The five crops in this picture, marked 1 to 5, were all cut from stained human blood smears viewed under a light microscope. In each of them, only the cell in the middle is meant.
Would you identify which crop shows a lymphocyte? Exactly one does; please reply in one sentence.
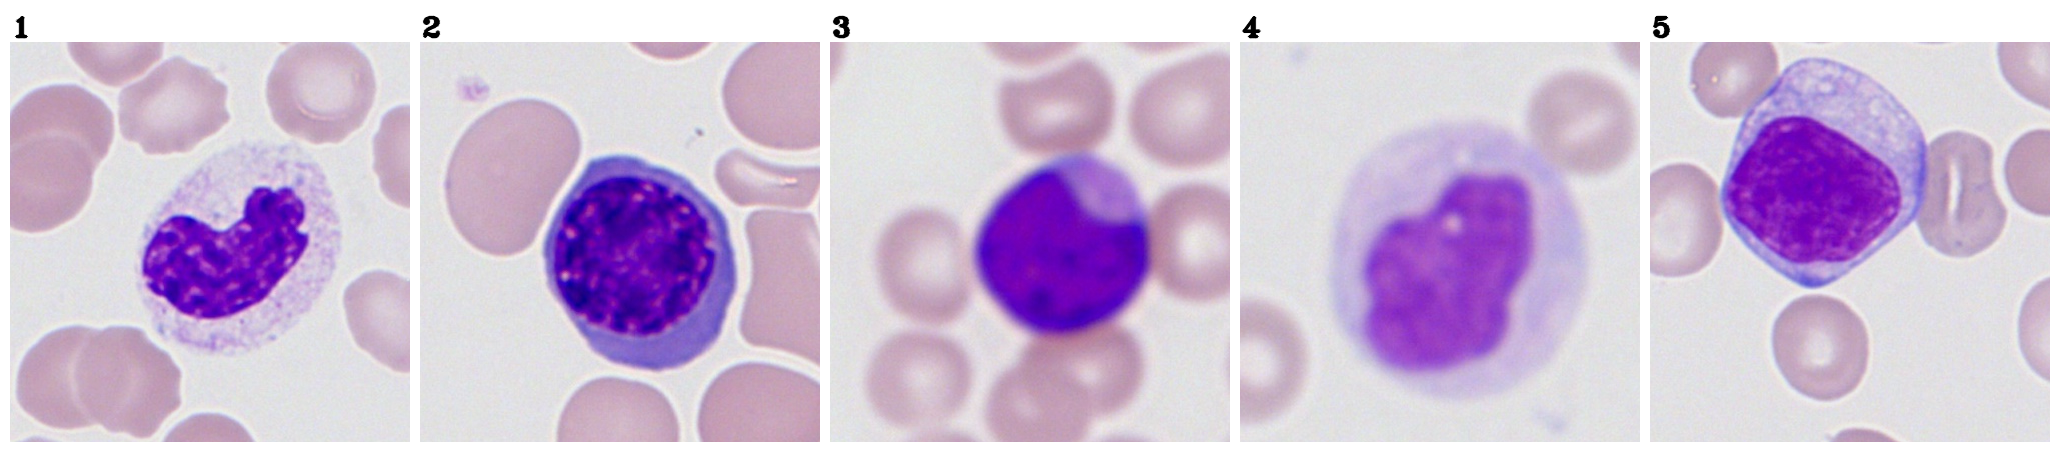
The one crop that shows a lymphocyte is crop 5.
